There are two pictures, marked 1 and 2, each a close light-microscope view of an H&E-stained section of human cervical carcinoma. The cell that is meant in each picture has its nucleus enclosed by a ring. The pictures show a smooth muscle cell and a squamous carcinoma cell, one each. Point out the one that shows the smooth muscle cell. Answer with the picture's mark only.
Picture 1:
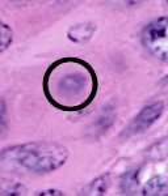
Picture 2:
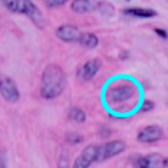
2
